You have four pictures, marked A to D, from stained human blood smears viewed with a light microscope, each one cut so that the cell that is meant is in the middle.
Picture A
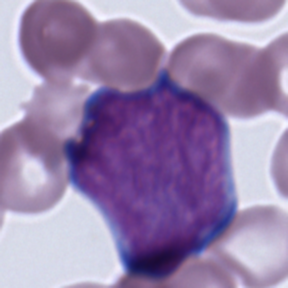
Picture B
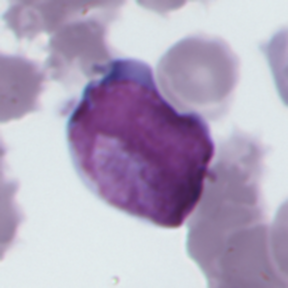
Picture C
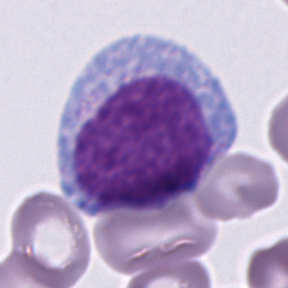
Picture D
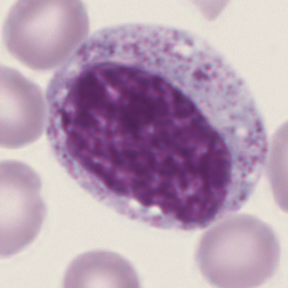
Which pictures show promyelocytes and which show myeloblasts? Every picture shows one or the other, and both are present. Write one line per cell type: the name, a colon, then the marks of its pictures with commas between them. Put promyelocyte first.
promyelocyte: C, D
myeloblast: A, B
